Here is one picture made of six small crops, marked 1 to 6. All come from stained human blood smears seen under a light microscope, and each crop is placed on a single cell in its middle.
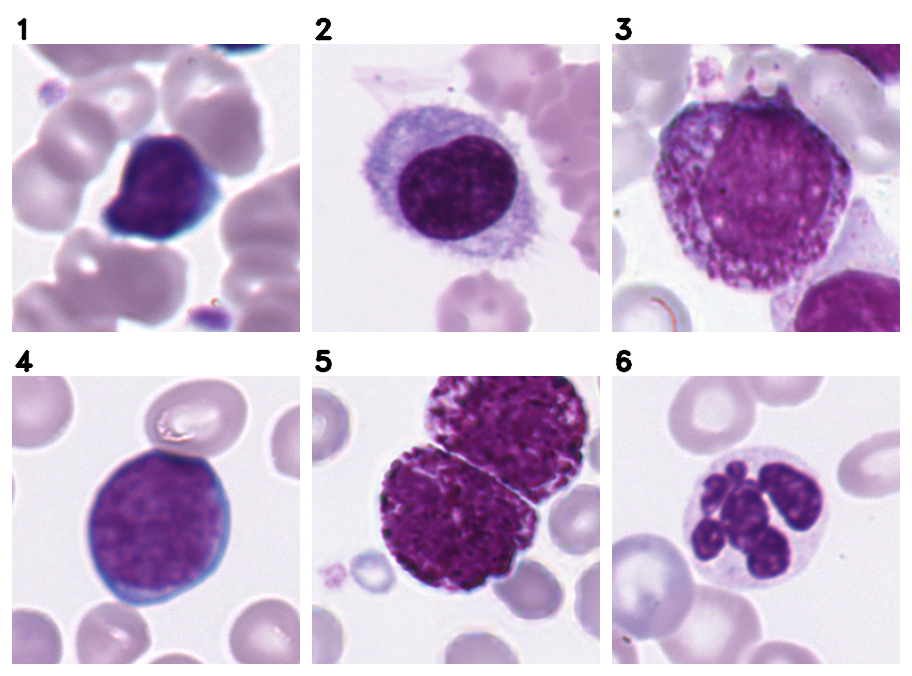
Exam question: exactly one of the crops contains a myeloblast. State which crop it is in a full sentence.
Here the crop that shows a myeloblast is crop 4.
